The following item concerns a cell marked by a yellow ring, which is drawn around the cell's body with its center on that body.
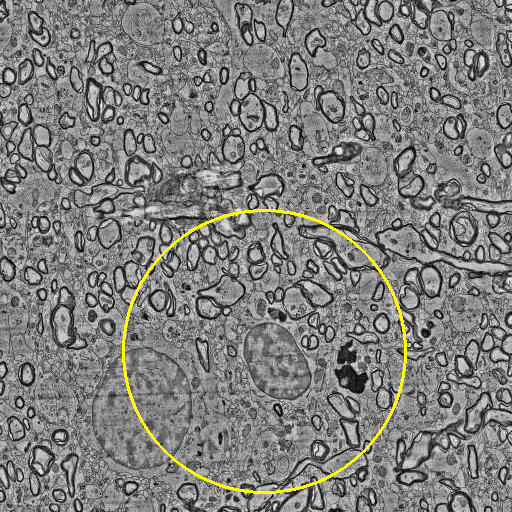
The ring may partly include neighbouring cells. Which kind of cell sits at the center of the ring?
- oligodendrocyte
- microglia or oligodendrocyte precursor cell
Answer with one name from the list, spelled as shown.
microglia or oligodendrocyte precursor cell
